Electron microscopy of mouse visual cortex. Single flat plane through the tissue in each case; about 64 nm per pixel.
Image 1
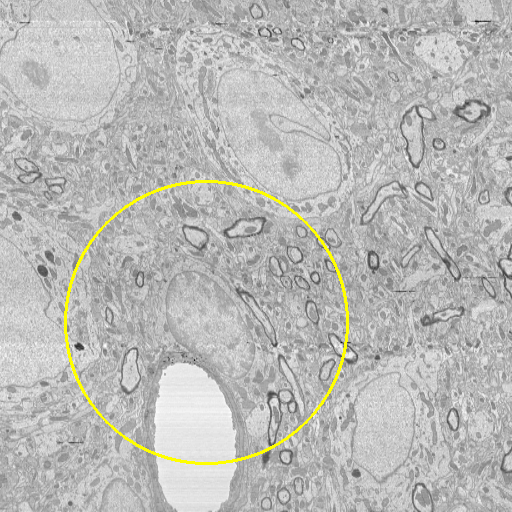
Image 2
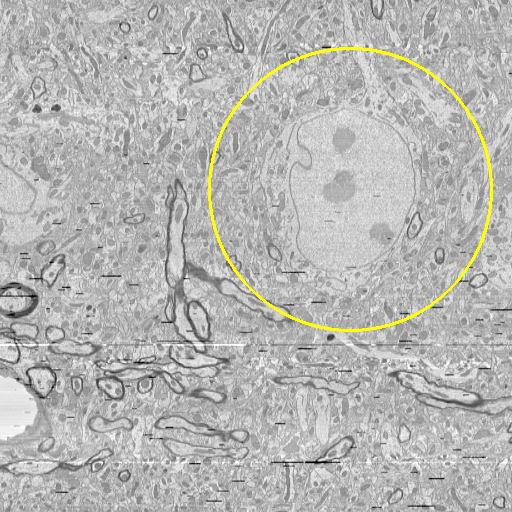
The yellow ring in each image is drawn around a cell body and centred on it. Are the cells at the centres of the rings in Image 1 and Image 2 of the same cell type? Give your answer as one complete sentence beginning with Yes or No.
No, the two cells are of two separate types.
